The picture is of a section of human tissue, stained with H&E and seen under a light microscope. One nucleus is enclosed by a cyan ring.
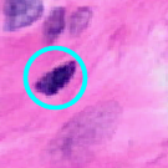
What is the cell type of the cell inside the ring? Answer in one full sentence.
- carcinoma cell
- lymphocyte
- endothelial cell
The category to which the cell inside the ring belongs is that of a lymphocyte.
